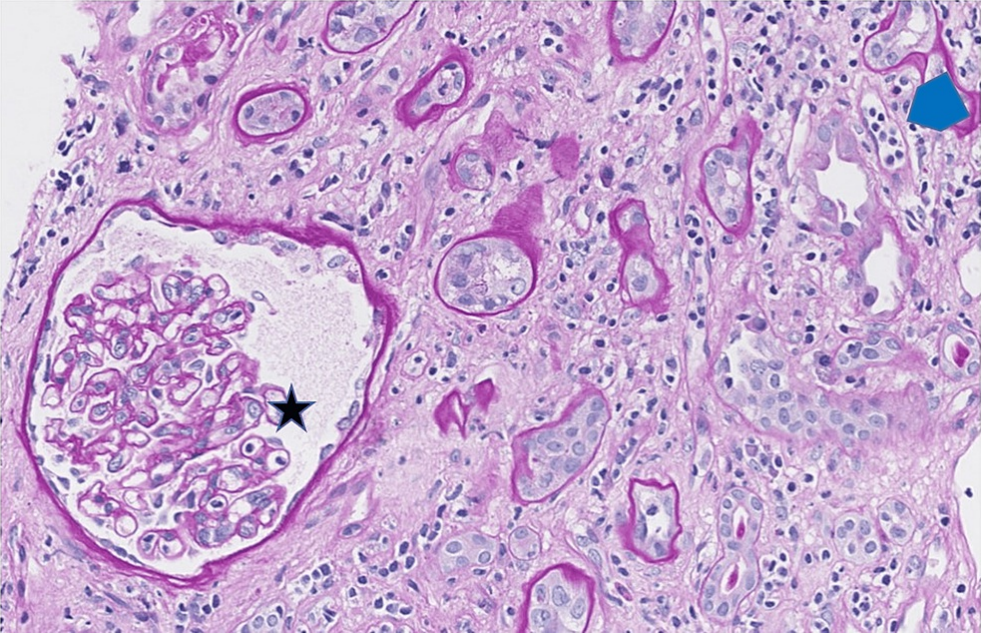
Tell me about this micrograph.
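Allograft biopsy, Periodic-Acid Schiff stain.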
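This is kidney tissue in which a glomerulus sits at the left, wrapped in a thick magenta Bowman's capsule. The Bowman's space holds pale, finely granular material. The loose, pale interstitium between the tubules is scattered with many small, dark, round nuclei of inflammatory cells. These are densest in narrow spaces between the tubules toward the upper right.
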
